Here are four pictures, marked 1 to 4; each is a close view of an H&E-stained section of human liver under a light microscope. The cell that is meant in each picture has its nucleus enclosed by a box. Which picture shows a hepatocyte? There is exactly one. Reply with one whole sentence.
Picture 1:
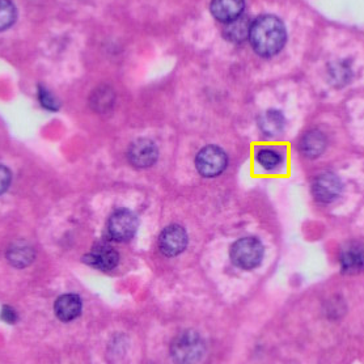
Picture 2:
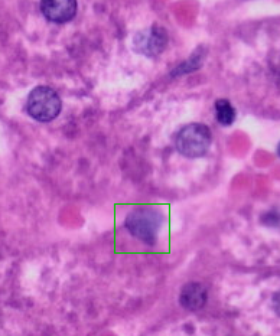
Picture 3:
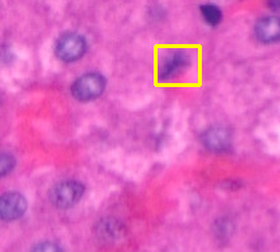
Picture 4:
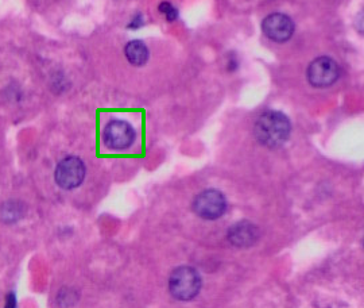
The hepatocyte is the one in picture 4.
